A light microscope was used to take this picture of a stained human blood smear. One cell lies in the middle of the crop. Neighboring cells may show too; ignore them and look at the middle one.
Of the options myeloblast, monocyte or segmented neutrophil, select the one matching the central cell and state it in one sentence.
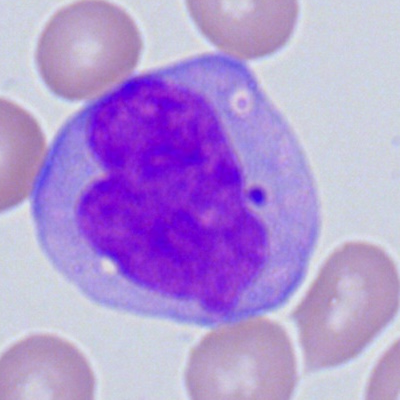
Classified as a monocyte is the cell in the middle of this crop.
